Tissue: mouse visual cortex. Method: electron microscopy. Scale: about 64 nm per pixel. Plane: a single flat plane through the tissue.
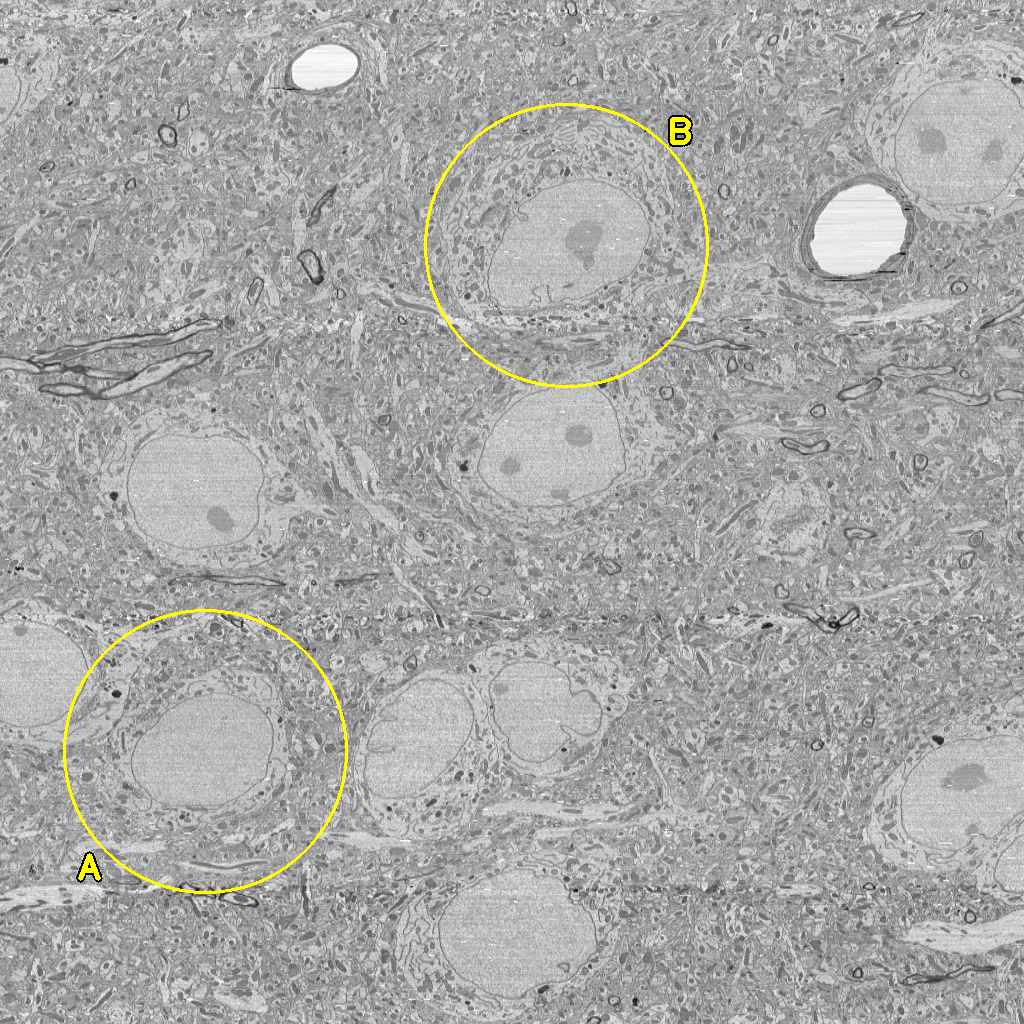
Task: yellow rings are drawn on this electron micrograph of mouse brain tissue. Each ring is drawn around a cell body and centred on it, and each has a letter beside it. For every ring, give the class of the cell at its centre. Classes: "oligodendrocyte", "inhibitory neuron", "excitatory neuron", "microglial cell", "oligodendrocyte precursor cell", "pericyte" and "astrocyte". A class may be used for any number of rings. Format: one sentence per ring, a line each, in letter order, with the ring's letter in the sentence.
The cell ringed as A is an excitatory neuron.
The cell ringed as B is an inhibitory neuron.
